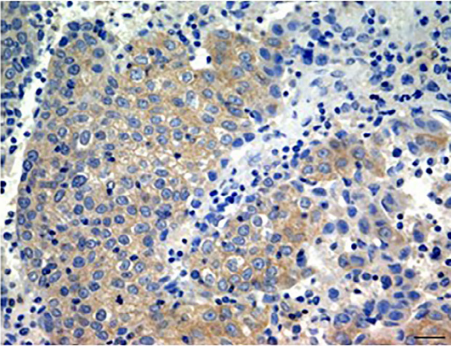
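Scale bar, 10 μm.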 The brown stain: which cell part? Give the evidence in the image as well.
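Brown stain fills the cell bodies around blue nuclei. The nuclei themselves stay blue and unstained.
Cytoplasmic.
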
